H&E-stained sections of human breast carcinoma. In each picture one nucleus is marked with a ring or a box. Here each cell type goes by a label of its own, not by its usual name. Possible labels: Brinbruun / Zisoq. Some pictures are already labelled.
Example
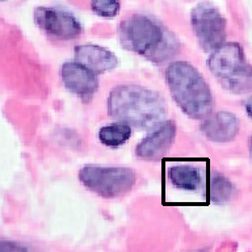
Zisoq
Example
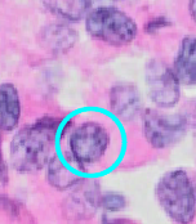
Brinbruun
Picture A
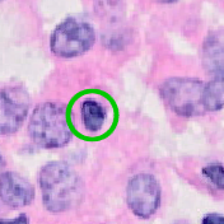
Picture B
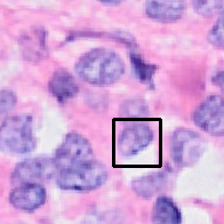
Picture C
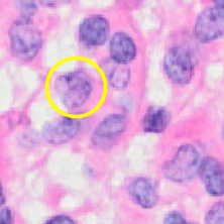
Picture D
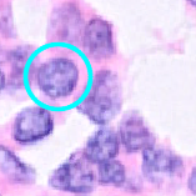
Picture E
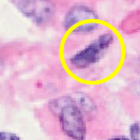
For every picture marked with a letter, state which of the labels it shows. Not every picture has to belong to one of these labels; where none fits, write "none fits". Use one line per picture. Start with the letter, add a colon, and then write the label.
A: Zisoq
B: Brinbruun
C: Brinbruun
D: Brinbruun
E: none fits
